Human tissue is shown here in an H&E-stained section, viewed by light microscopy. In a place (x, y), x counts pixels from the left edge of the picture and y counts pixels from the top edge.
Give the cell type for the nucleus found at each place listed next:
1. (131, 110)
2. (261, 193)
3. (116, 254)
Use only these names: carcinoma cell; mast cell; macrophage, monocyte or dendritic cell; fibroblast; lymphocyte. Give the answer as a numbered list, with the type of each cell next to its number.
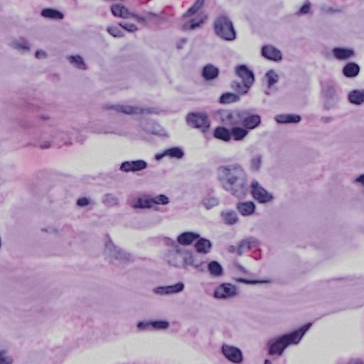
1. fibroblast
2. lymphocyte
3. fibroblast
